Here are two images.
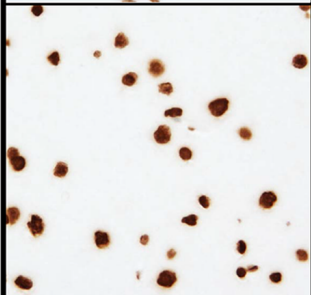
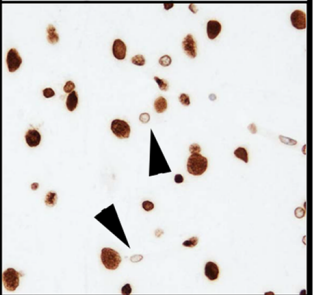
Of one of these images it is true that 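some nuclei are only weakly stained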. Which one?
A: The second image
